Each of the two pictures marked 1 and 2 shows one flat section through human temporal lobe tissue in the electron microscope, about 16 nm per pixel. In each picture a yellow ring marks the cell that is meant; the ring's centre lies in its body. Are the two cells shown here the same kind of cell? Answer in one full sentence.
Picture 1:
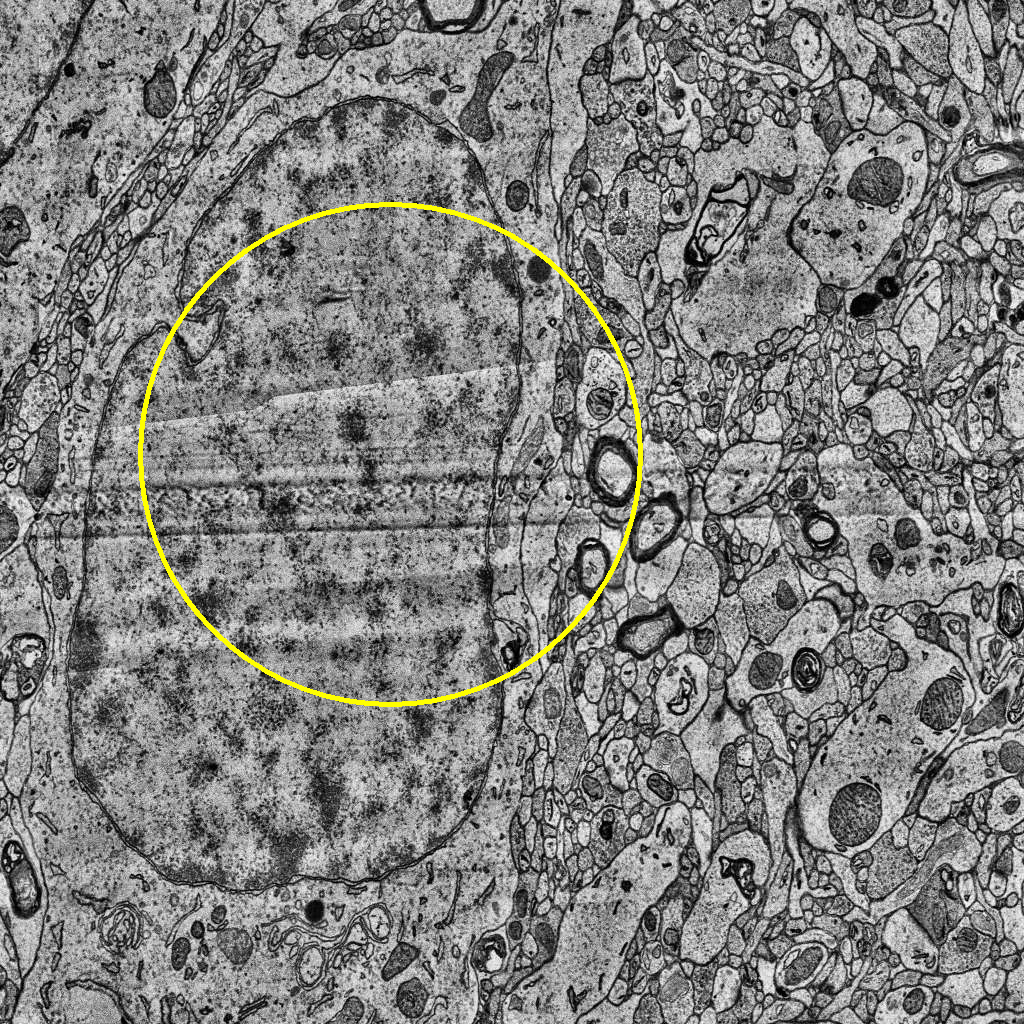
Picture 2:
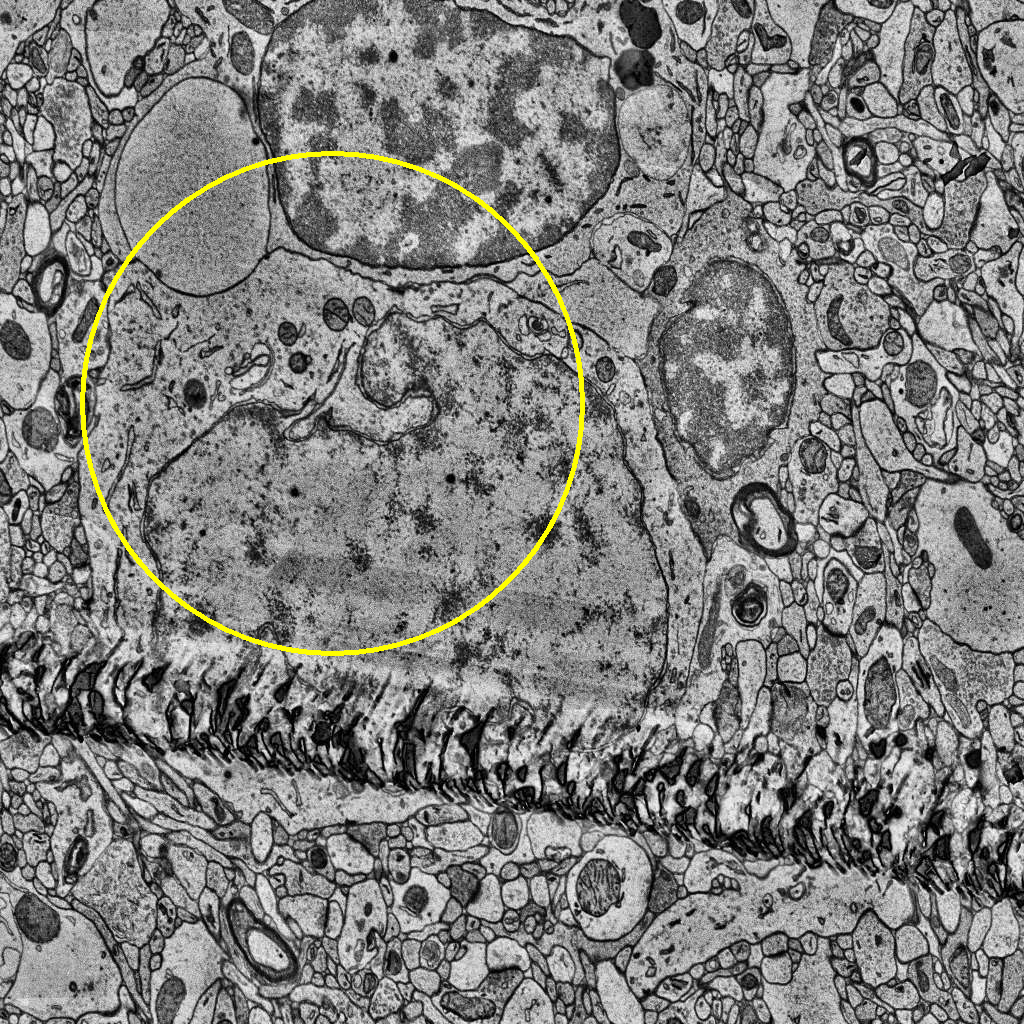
Yes, they are the same type: both are interneurons.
